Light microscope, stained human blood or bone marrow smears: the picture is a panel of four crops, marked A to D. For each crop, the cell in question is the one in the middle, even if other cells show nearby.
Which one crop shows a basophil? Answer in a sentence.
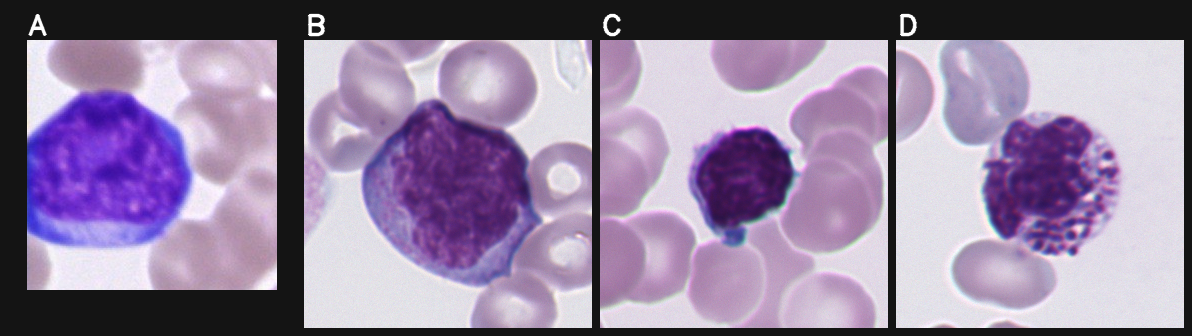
It is in crop D that a basophil is shown.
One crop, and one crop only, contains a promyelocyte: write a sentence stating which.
Crop B is the crop that displays a promyelocyte.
